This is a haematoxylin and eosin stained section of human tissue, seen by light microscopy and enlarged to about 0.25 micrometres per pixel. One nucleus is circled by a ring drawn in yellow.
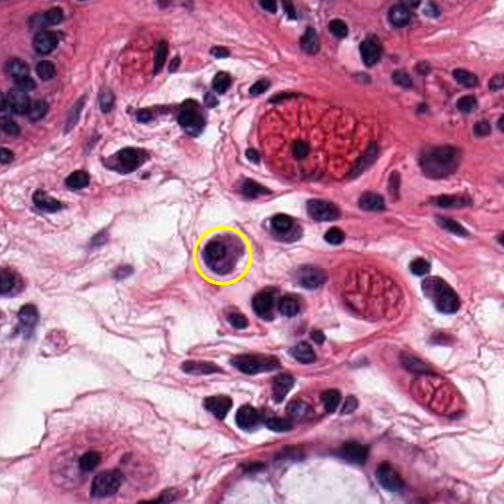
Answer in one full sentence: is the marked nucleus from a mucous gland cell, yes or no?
No, rather than to a mucous gland cell, the marked nucleus belongs to a supporting cell.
